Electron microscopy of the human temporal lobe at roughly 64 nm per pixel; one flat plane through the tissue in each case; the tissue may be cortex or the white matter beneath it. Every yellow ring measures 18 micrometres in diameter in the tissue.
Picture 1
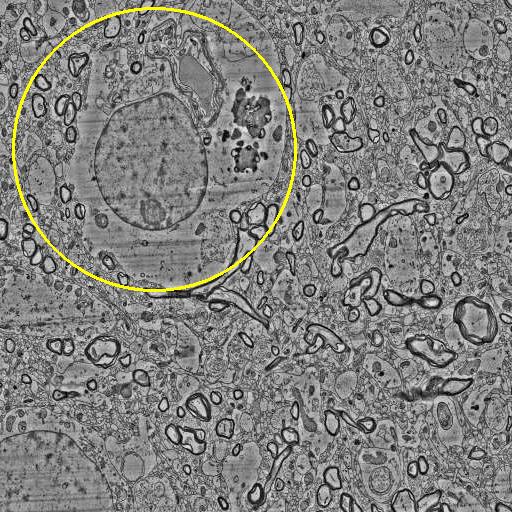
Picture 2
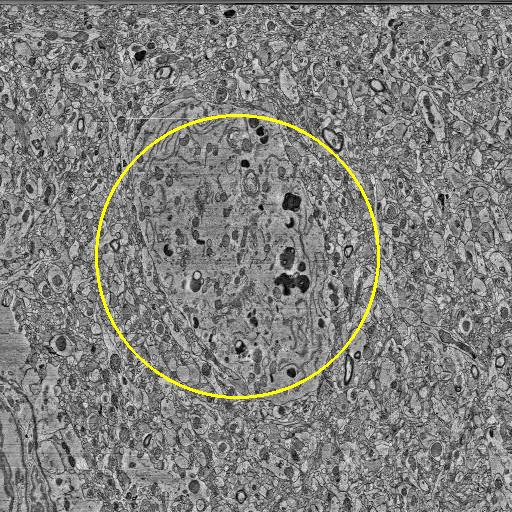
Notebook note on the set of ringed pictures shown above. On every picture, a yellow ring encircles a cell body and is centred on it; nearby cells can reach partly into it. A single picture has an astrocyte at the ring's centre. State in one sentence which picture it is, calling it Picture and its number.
Picture 1 is the one whose ring is centred on the sought cell.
